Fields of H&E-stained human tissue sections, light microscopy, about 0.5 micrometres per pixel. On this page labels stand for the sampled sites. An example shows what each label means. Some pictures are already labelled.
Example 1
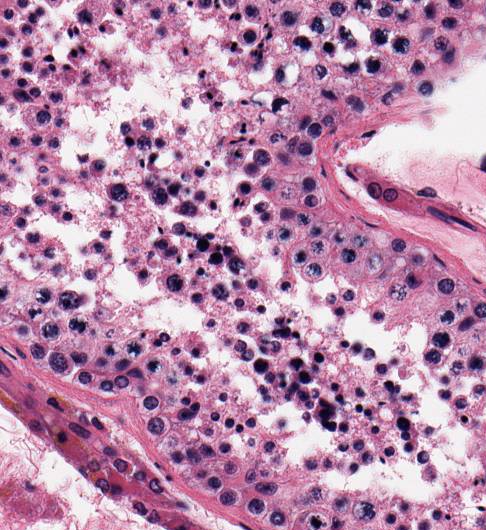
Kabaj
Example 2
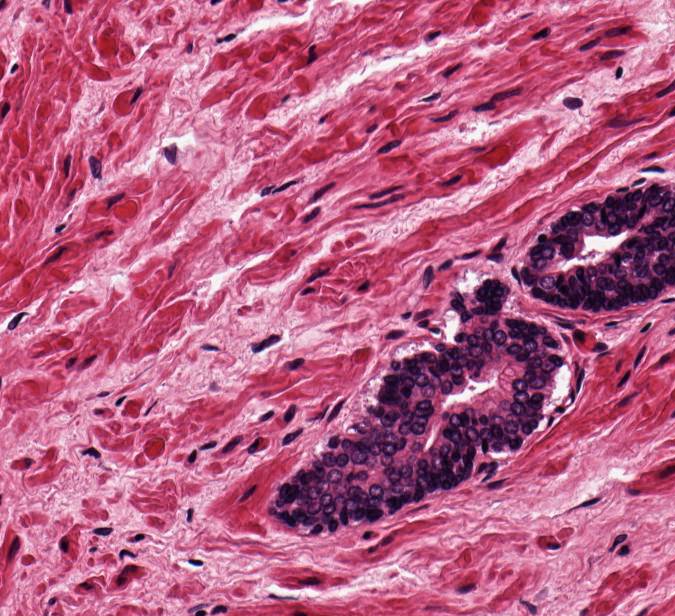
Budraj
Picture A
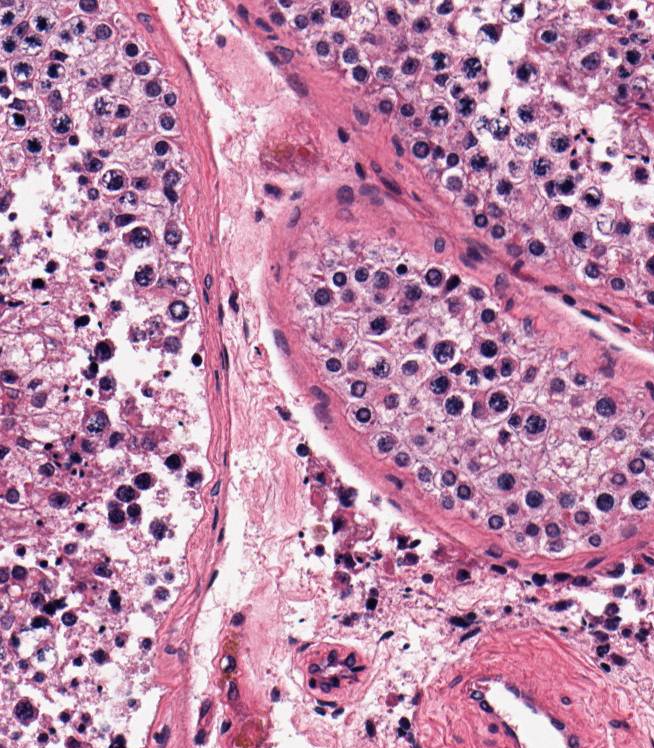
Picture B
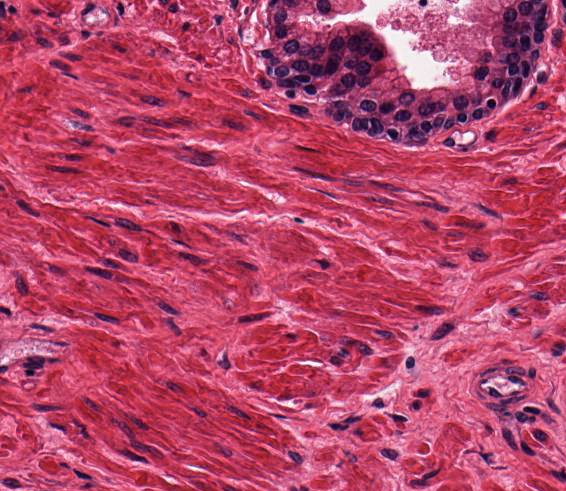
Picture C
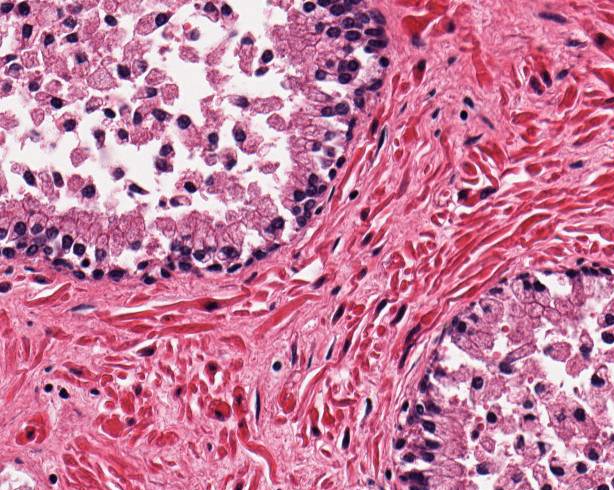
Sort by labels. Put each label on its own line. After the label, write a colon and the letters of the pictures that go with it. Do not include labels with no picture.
Kabaj: A
Budraj: B, C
